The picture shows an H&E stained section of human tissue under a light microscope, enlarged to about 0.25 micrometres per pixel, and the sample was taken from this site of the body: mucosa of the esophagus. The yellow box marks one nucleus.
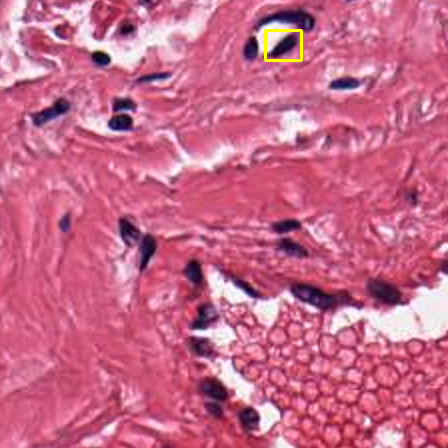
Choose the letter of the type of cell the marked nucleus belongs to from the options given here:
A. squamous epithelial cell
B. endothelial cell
B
